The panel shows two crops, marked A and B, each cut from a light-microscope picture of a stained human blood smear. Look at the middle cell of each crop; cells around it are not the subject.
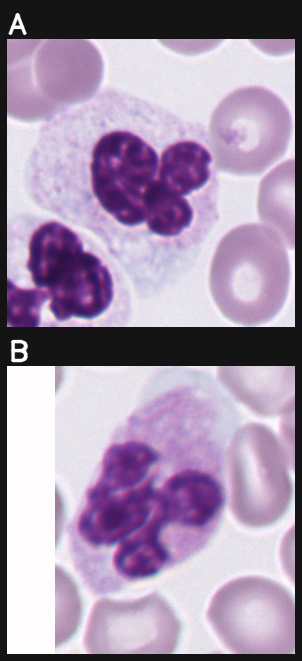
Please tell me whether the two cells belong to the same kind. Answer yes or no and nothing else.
yes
